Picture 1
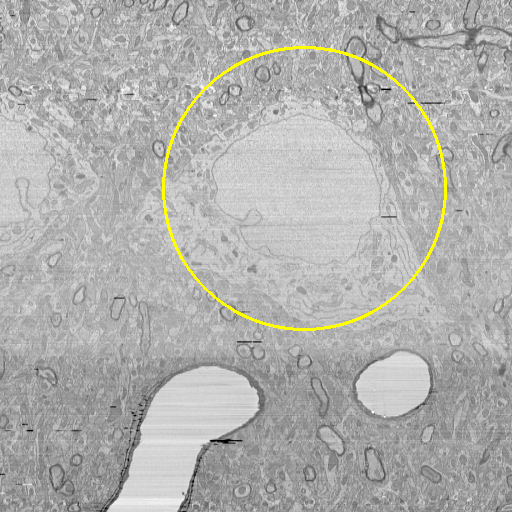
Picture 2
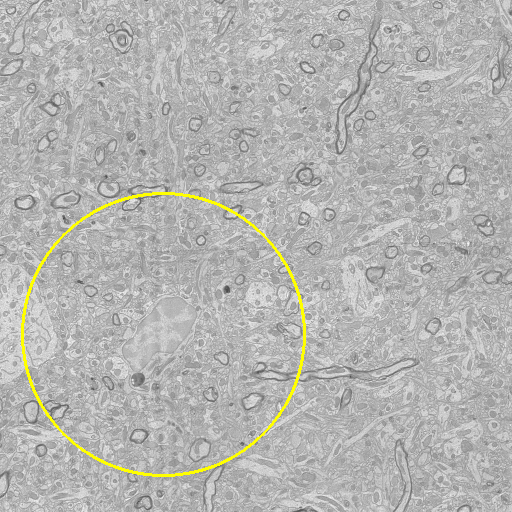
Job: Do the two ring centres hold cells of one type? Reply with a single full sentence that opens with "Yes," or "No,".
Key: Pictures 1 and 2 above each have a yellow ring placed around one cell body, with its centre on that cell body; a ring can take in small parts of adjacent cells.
No, the cells at the two ring centres are of two separate types.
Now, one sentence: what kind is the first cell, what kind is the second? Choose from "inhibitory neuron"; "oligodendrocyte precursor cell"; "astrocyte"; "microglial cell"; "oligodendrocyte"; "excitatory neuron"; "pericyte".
The first picture has an excitatory neuron at its ring centre, and the second has a microglial cell.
